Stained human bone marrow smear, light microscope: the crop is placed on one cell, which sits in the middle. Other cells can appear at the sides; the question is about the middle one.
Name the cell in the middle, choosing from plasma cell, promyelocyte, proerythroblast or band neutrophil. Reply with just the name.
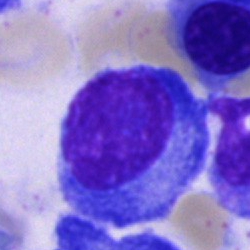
plasma cell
